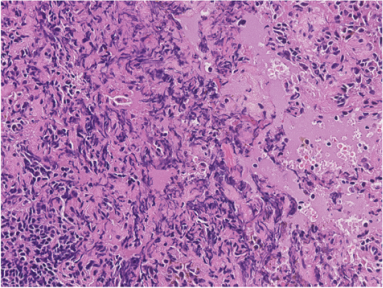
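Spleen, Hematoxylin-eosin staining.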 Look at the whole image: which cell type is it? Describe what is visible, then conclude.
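Many cells have elongated, spindle-shaped dark nuclei. The elongated cells lie in irregular clusters and strands.
Hence: spindle-like cells.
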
